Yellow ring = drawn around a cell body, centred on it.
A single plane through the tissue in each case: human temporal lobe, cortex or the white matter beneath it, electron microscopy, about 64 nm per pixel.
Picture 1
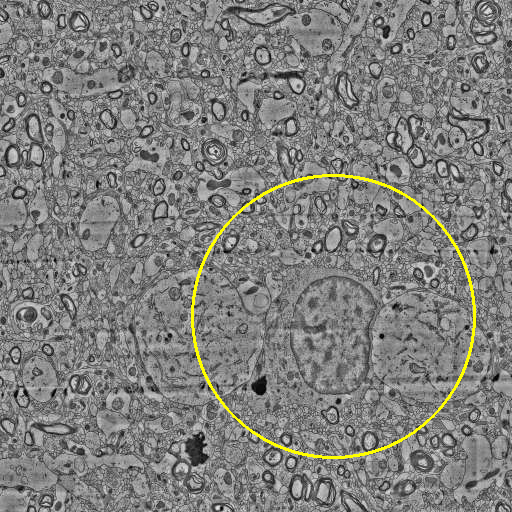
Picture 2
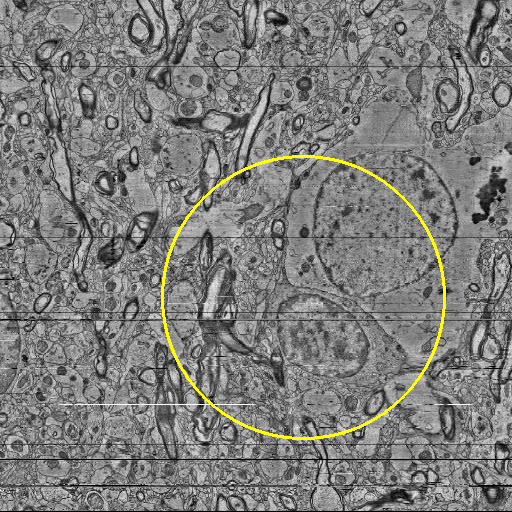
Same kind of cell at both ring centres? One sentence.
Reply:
Yes, they are the same kind of cell.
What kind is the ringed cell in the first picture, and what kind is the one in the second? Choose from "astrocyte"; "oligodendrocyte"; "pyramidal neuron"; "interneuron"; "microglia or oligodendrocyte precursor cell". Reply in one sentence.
In each of the two pictures, the ringed cell is an oligodendrocyte.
